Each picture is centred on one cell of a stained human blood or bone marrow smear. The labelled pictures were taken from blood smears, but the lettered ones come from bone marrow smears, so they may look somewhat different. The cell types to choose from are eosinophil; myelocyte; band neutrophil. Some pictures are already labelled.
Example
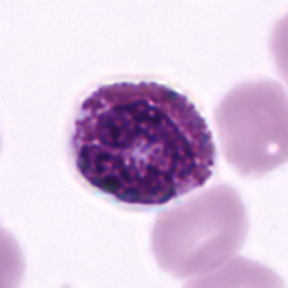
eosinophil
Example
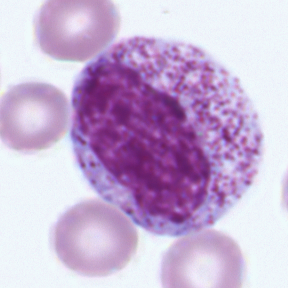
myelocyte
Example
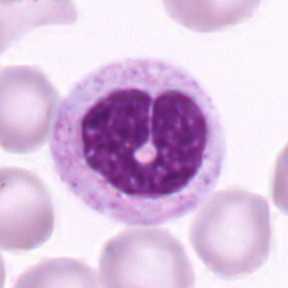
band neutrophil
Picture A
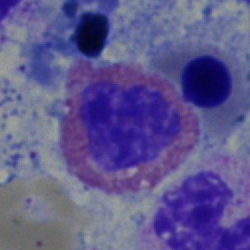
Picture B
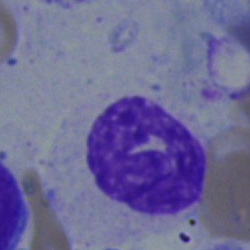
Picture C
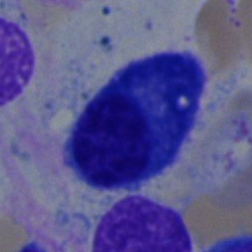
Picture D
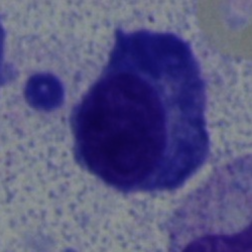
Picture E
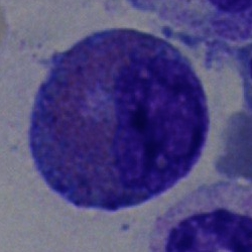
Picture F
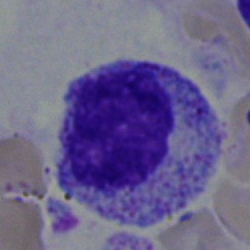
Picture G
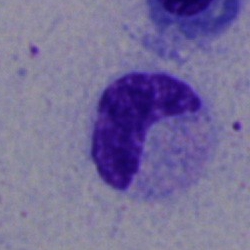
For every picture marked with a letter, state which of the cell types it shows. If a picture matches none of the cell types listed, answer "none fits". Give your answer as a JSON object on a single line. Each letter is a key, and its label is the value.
{"A": "eosinophil", "B": "band neutrophil", "C": "none fits", "D": "none fits", "E": "eosinophil", "F": "myelocyte", "G": "band neutrophil"}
